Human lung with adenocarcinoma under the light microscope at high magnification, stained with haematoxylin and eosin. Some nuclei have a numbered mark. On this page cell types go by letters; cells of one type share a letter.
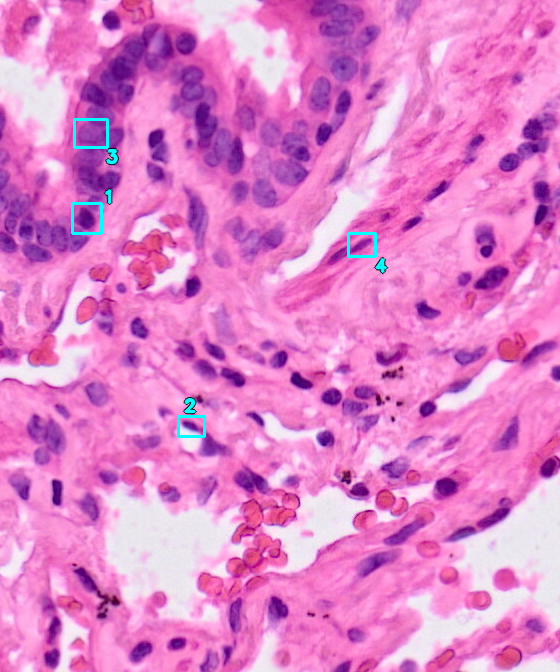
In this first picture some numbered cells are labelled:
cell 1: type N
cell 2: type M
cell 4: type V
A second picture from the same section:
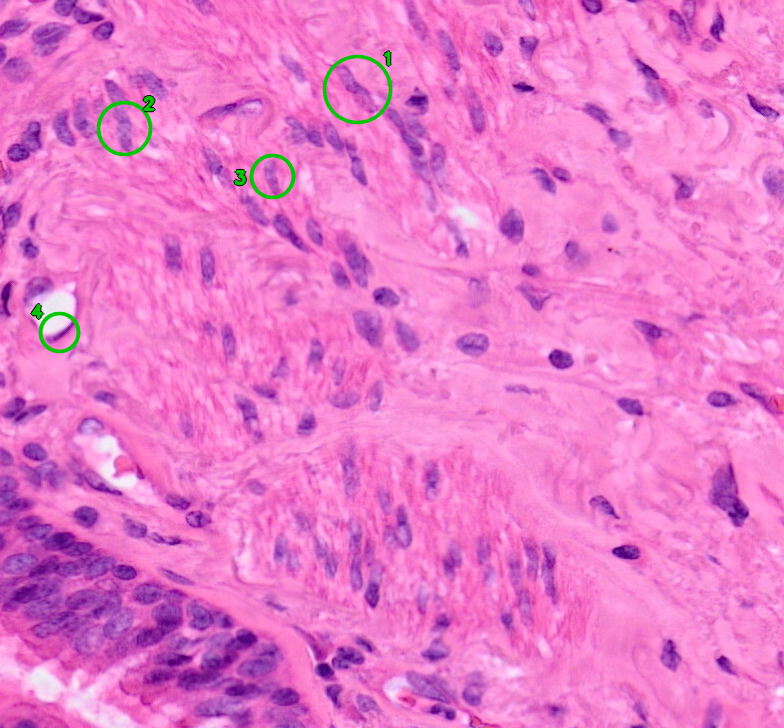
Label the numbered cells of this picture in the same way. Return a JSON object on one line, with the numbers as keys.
{"1": "type V", "2": "type V", "3": "type V", "4": "type M"}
